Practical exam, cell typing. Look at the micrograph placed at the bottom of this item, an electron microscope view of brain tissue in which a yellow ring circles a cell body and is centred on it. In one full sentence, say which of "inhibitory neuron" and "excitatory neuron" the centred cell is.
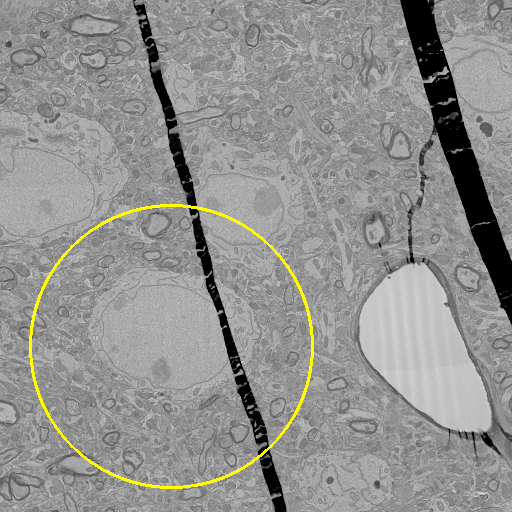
Given the options, an excitatory neuron fits the cell whose body the yellow ring is centred on.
